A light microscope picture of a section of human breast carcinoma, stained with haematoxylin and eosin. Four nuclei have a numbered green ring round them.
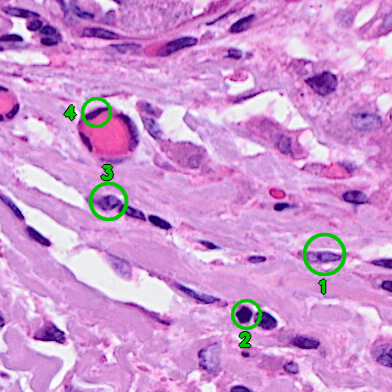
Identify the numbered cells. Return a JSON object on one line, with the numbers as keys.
{"1": "fibroblast", "2": "lymphocyte", "3": "fibroblast", "4": "endothelial cell"}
